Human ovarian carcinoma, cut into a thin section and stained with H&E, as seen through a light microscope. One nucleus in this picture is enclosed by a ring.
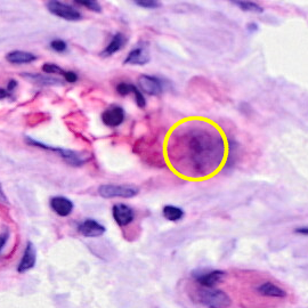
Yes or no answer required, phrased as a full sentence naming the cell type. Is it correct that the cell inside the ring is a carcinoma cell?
No, what the cell inside the ring represents is an endothelial cell rather than a carcinoma cell.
